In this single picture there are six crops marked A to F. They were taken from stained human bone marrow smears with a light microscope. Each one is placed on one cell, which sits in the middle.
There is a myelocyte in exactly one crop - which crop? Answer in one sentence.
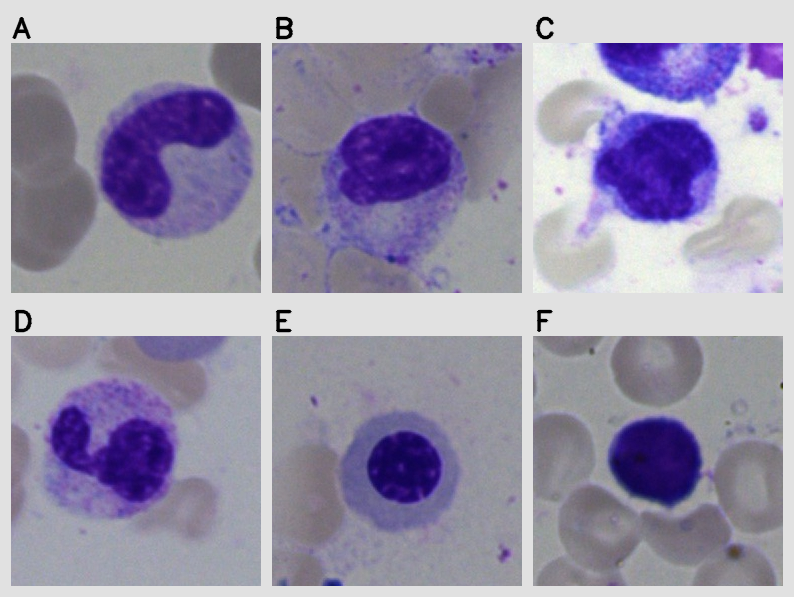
Crop B shows a myelocyte, and no other crop does.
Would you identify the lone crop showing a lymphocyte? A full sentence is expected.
Look at crop F; that is the one with a lymphocyte in its center.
